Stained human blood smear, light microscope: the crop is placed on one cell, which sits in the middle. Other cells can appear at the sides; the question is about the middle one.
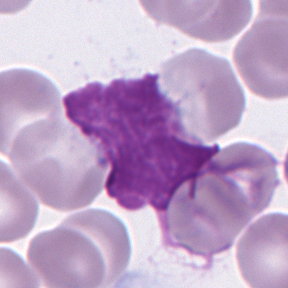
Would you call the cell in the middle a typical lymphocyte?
no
